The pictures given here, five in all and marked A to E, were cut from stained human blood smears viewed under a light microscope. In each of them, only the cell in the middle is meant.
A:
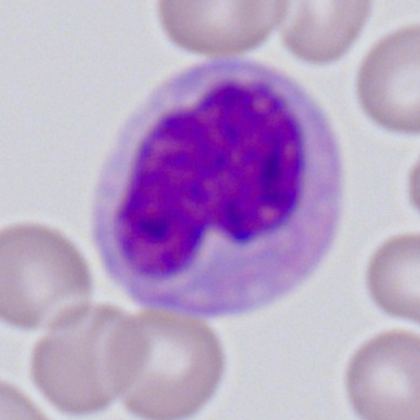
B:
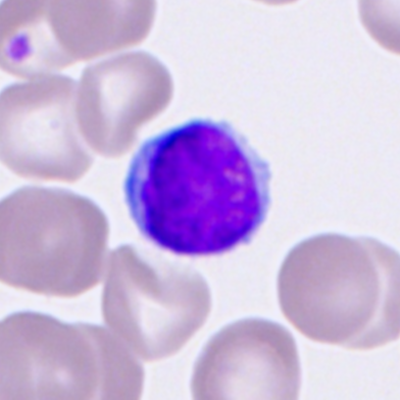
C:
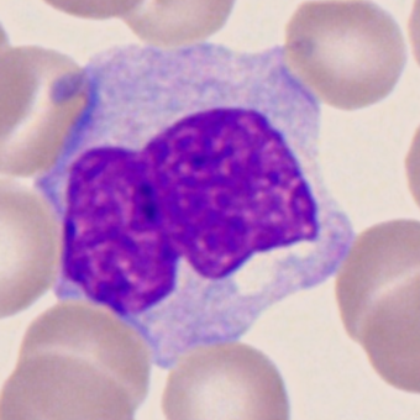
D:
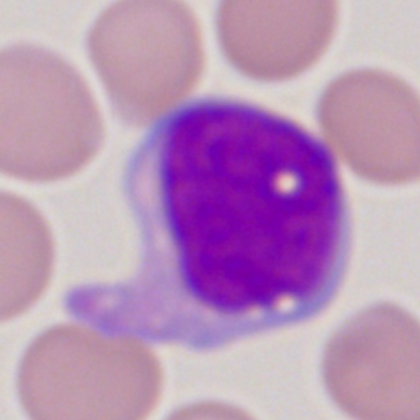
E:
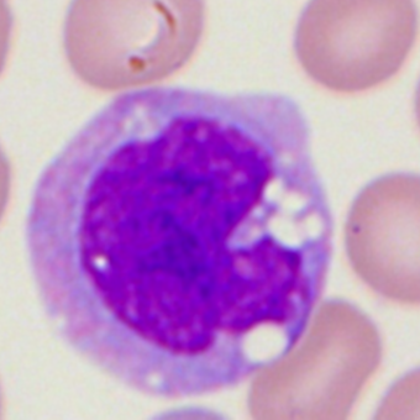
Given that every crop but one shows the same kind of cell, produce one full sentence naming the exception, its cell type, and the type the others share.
The different crop is crop B, a lymphocyte; all the others show monocytes.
